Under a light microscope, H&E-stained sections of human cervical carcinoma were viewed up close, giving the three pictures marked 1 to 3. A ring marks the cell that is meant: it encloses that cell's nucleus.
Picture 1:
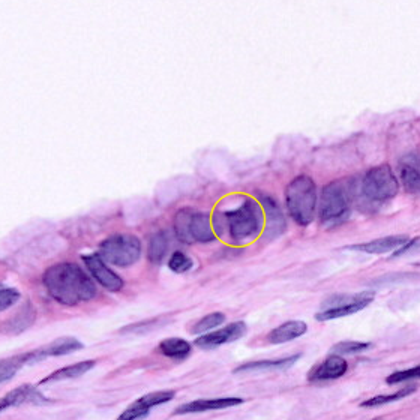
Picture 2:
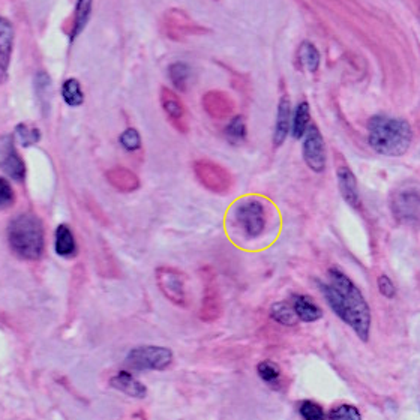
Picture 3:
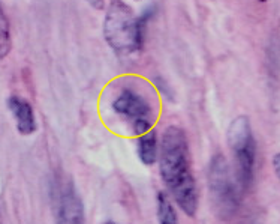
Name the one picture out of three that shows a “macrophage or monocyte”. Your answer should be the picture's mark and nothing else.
2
